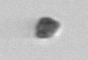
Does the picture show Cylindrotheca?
No, it shows Gephyrocapsa huxleyi.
